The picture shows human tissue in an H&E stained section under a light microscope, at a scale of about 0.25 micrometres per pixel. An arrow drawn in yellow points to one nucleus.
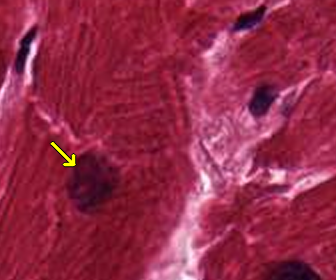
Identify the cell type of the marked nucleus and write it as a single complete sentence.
In the section shown, the marked nucleus belongs to a cardiomyocyte.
